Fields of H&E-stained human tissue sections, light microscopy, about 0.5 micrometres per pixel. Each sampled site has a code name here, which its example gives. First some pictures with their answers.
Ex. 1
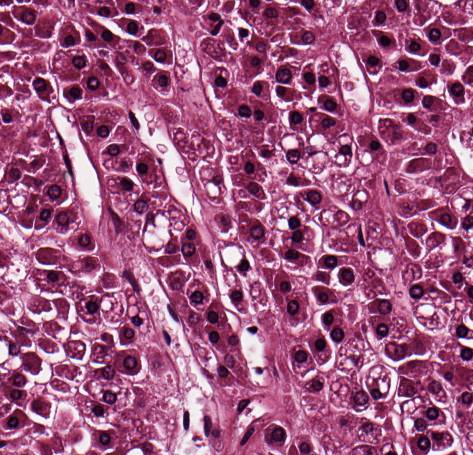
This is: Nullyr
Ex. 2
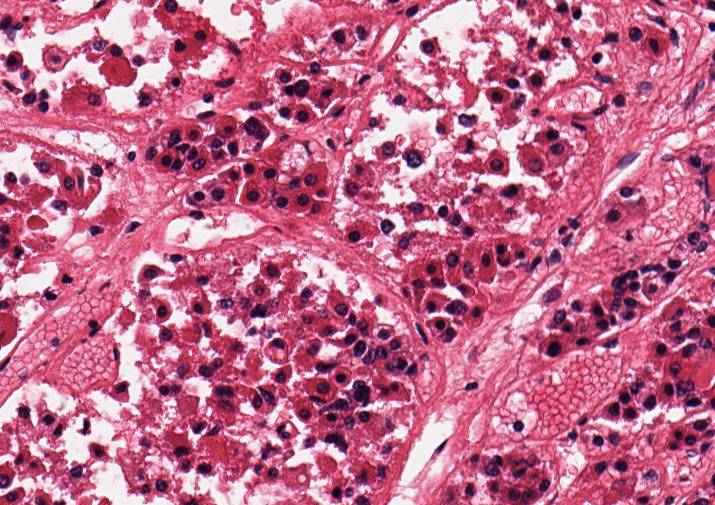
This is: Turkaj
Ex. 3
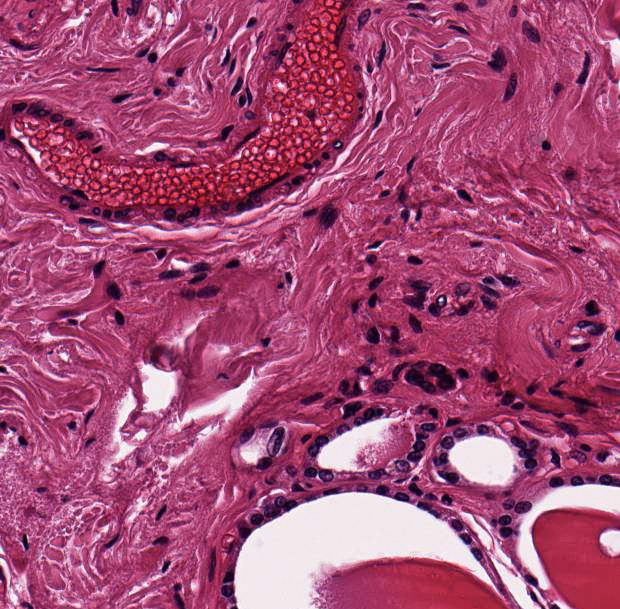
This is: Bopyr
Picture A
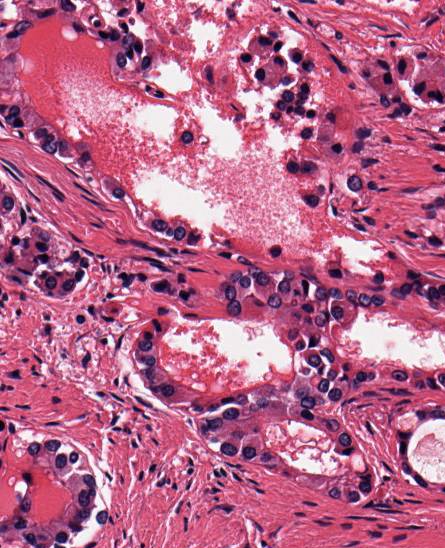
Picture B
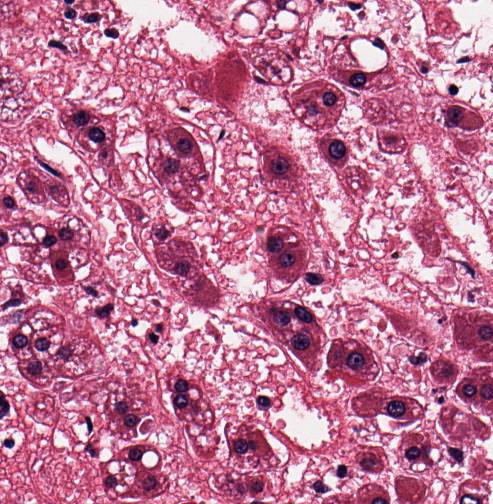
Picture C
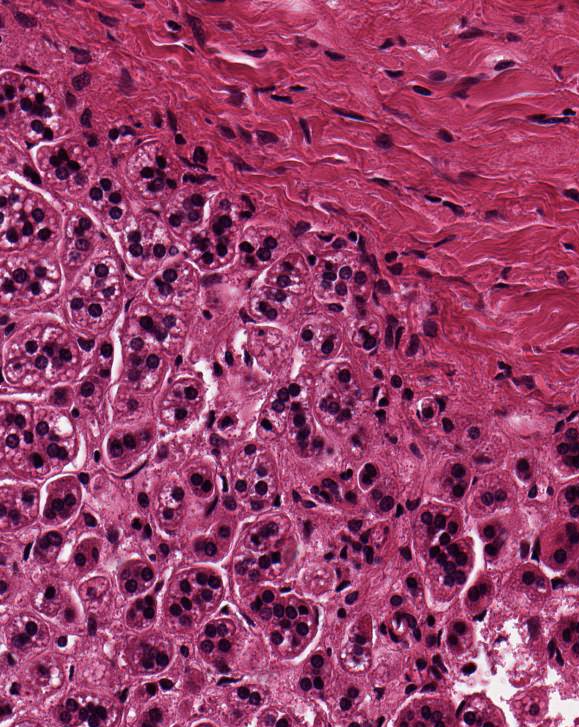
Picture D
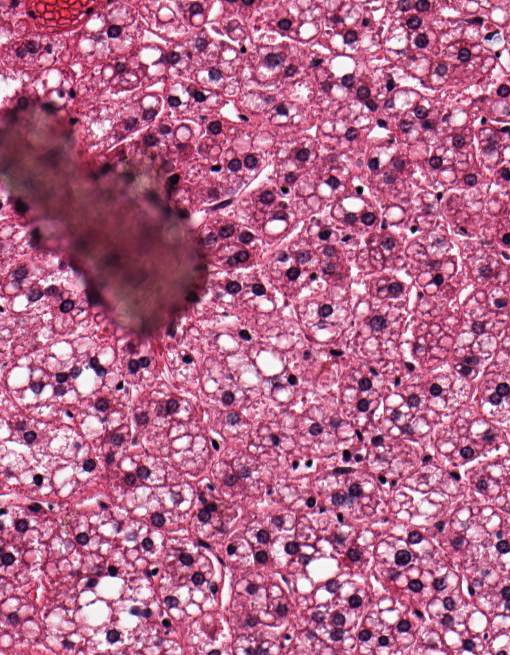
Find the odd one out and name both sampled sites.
A: Turkaj; all the others: Nullyr.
